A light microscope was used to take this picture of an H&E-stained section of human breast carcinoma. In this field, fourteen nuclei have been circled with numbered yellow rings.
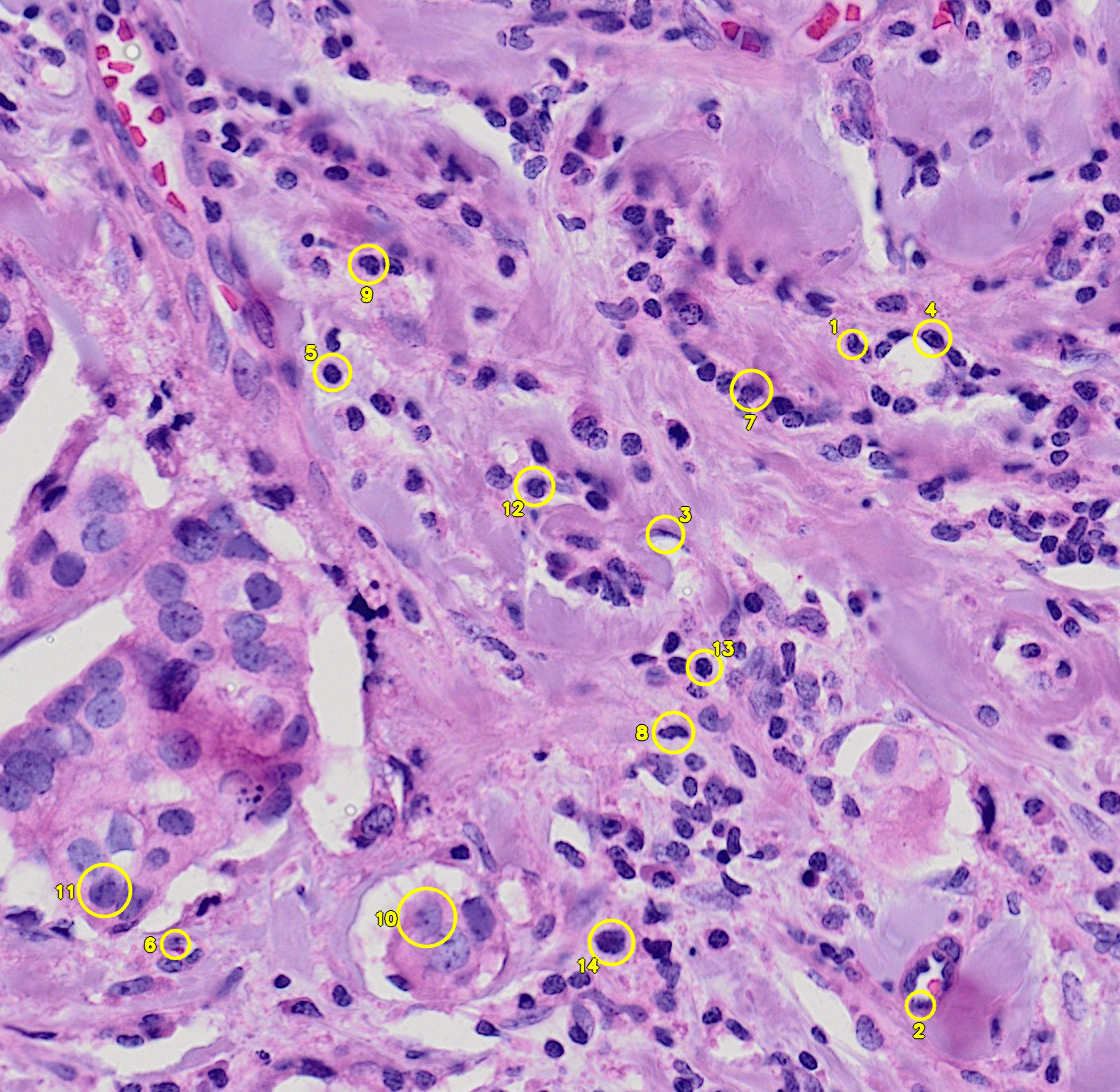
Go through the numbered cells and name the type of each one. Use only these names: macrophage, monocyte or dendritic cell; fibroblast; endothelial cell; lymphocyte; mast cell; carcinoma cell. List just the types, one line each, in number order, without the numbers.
lymphocyte
endothelial cell
fibroblast
lymphocyte
lymphocyte
endothelial cell
lymphocyte
lymphocyte
lymphocyte
carcinoma cell
carcinoma cell
lymphocyte
lymphocyte
carcinoma cell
